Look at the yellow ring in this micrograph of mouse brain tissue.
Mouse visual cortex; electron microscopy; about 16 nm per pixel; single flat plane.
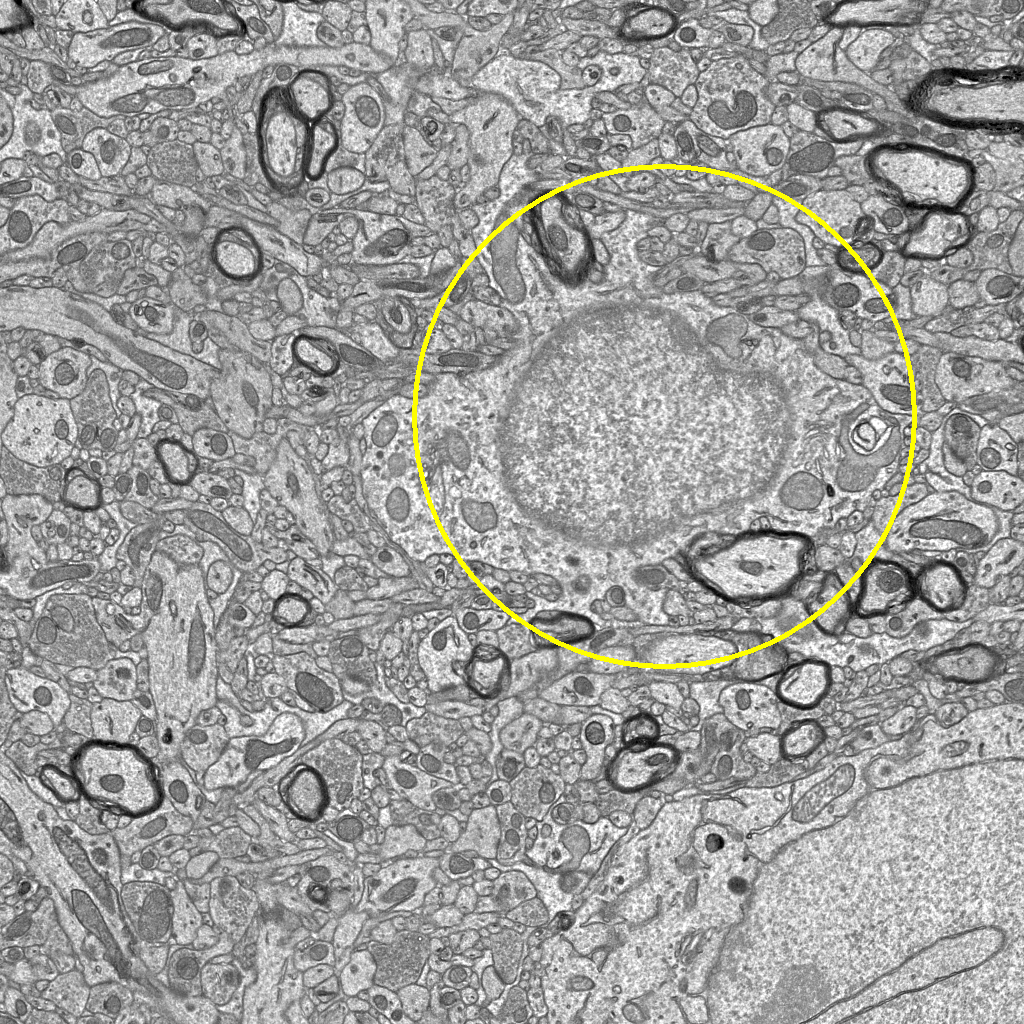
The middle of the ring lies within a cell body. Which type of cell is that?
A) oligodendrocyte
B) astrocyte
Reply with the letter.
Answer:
B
